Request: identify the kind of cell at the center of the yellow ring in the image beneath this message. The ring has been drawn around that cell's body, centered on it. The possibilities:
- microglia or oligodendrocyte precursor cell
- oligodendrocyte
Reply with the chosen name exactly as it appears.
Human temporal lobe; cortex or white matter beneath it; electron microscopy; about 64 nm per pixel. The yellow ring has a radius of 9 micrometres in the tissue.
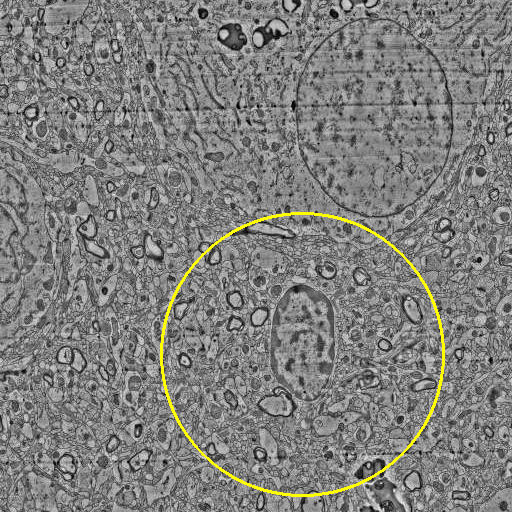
microglia or oligodendrocyte precursor cell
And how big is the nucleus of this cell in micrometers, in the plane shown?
Clearly longer than it is wide in this plane, the nucleus measures roughly 7 by 4 micrometres.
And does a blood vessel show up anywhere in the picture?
No, the image shows no blood vessel.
